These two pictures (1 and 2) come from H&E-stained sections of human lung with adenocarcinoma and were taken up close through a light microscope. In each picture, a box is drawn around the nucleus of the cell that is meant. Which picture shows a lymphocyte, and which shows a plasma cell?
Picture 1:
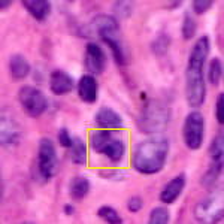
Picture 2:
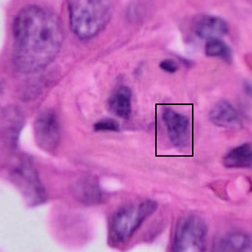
1: lymphocyte
2: plasma cell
